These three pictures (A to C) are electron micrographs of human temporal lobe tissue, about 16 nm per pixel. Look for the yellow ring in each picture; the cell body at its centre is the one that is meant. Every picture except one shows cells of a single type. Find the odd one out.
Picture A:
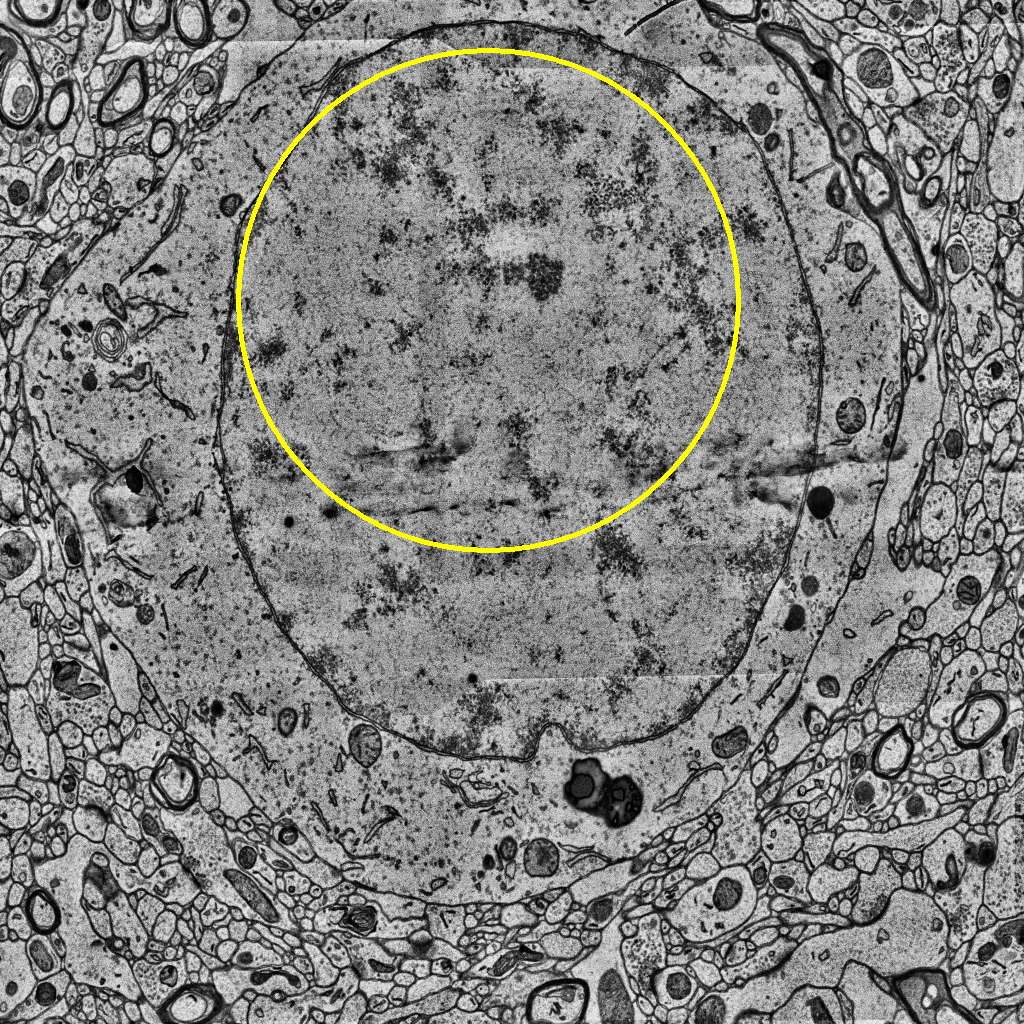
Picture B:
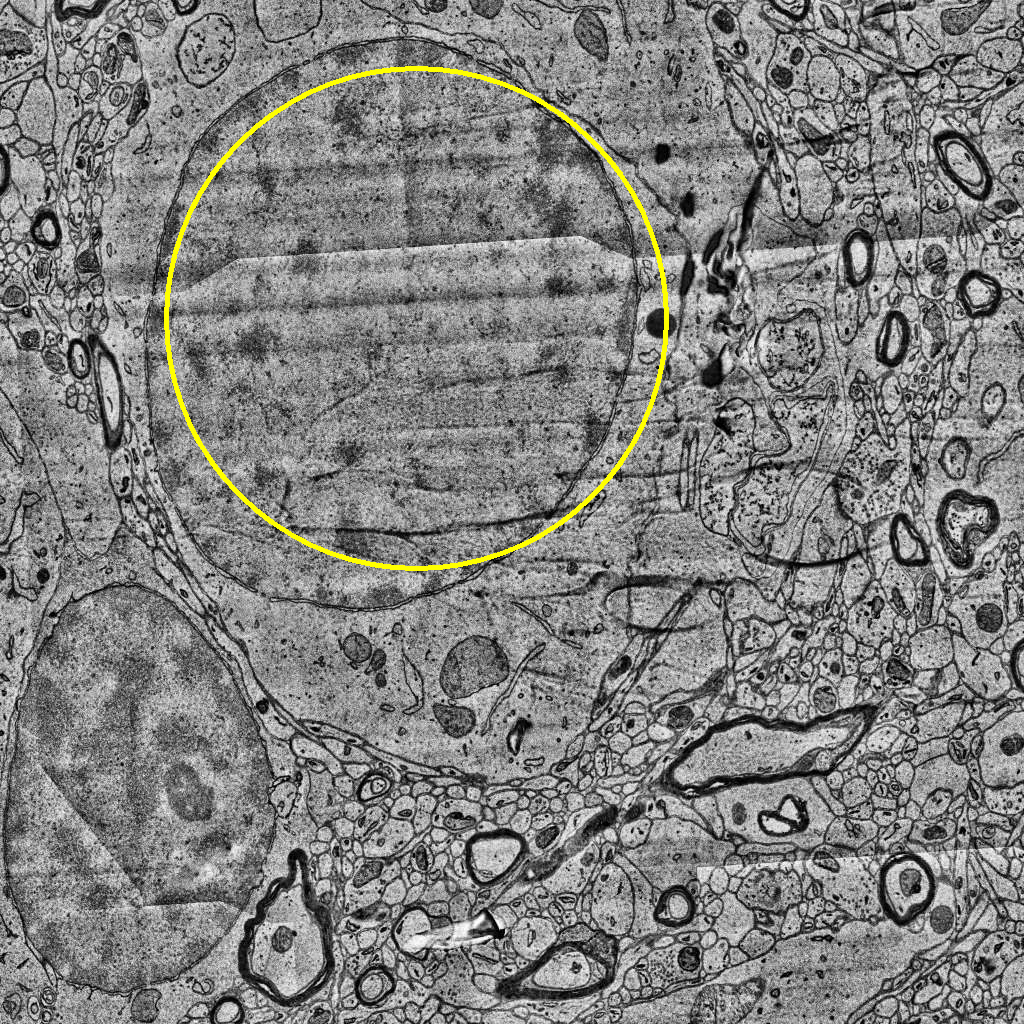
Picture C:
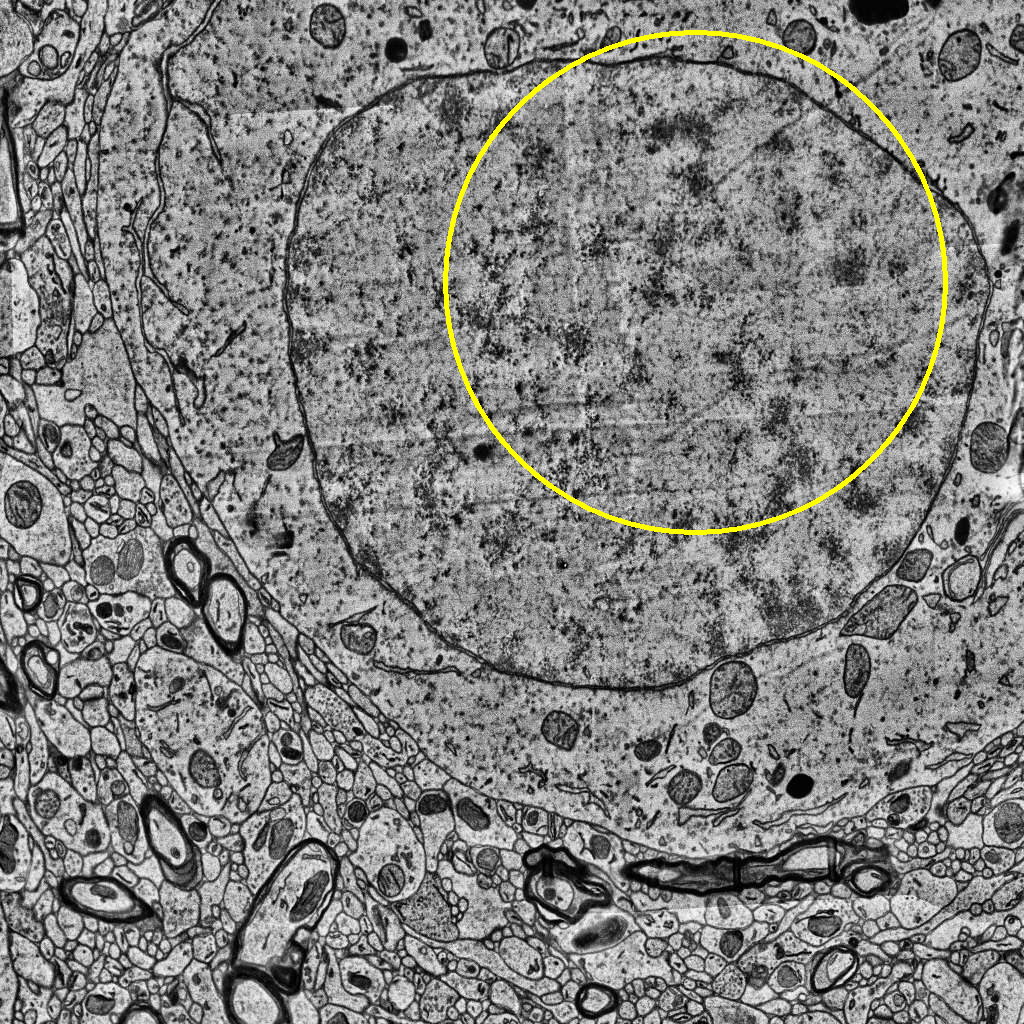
The different one is picture B; it shows an astrocyte, whereas all the others show pyramidal neurons.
